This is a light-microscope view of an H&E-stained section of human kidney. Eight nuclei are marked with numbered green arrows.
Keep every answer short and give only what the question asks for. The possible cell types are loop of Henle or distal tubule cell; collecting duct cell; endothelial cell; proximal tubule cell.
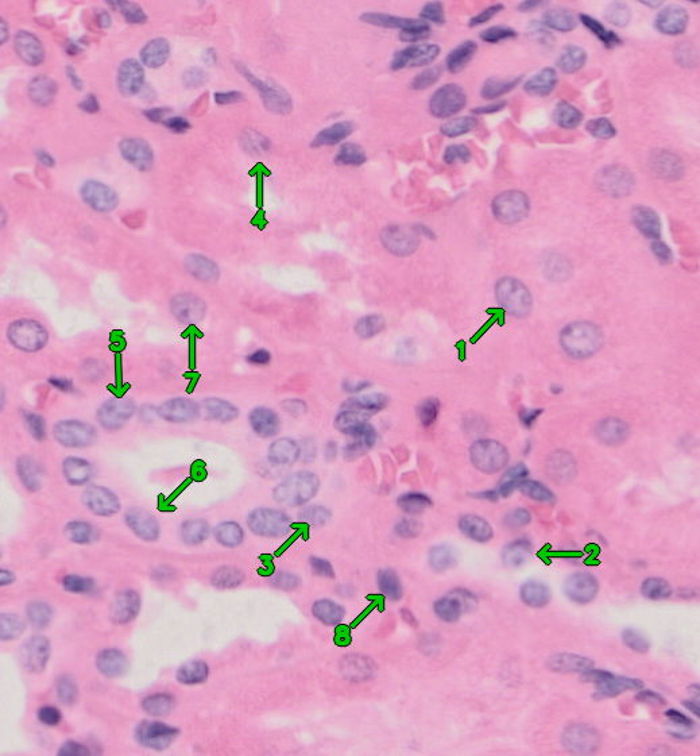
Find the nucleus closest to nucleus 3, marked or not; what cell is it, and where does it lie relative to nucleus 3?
a collecting duct cell; above and to the left of nucleus 3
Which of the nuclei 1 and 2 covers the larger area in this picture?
1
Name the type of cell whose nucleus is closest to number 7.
proximal tubule cell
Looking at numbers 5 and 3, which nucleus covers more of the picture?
5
